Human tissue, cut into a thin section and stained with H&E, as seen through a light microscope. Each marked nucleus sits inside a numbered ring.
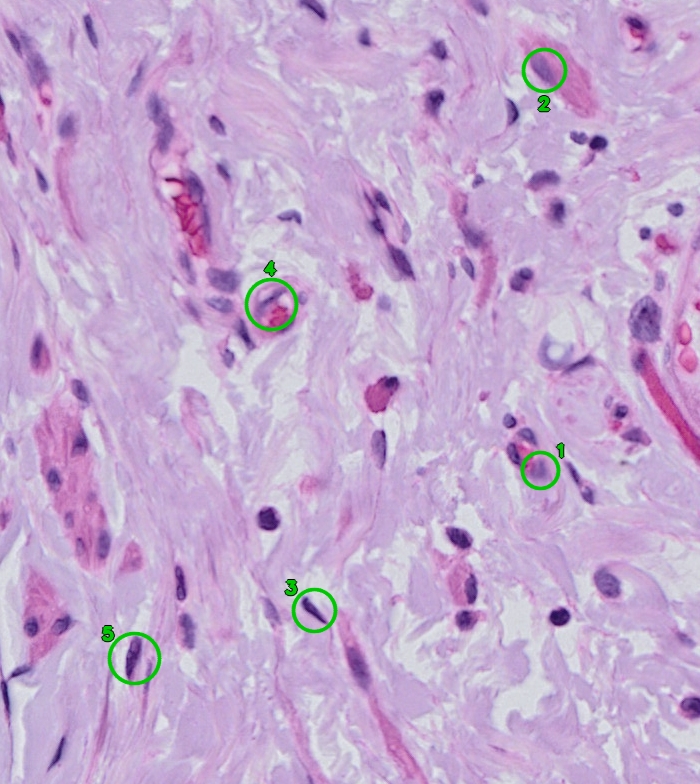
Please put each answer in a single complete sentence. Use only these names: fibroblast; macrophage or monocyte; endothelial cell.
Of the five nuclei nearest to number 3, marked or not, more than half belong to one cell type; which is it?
Around number 3, most of the five nearest nuclei are those of macrophages or monocytes.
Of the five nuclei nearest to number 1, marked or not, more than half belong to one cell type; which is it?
Around number 1, most of the five nearest nuclei are those of fibroblasts.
